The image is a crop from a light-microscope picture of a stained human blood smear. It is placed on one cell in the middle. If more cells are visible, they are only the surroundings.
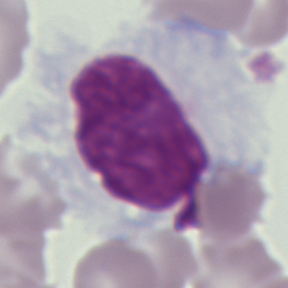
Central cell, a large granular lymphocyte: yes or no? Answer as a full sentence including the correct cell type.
No, it is not a large granular lymphocyte that sits at the centre but a hairy cell.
